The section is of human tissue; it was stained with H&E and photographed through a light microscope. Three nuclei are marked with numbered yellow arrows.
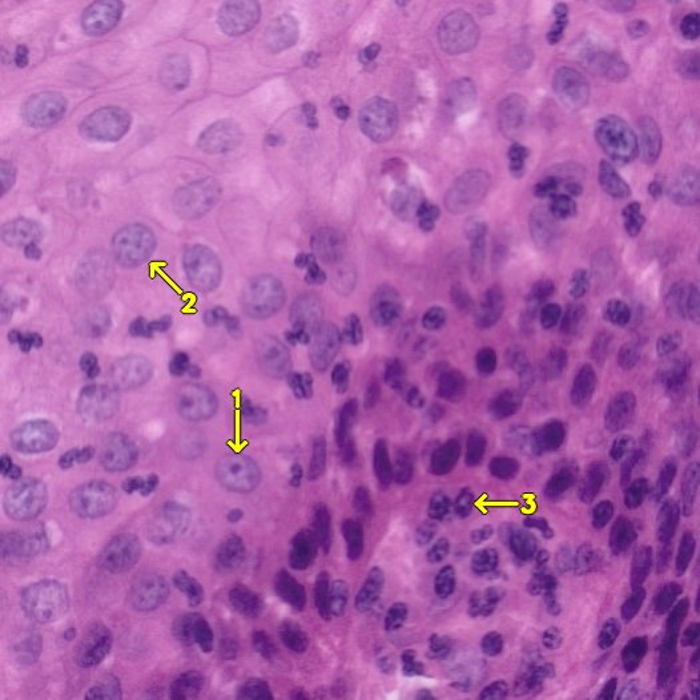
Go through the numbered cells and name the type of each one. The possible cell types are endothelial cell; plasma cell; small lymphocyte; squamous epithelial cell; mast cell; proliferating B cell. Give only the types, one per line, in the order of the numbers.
squamous epithelial cell
squamous epithelial cell
plasma cell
